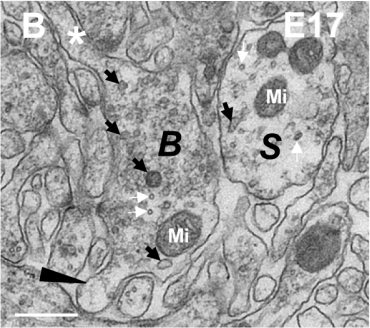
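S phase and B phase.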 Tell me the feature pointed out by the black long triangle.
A: Nascent branch of neurite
